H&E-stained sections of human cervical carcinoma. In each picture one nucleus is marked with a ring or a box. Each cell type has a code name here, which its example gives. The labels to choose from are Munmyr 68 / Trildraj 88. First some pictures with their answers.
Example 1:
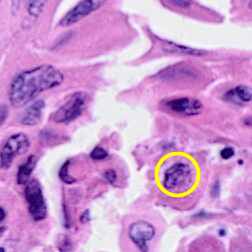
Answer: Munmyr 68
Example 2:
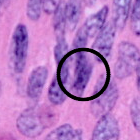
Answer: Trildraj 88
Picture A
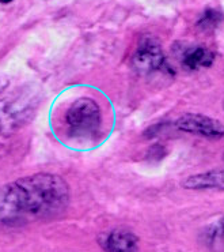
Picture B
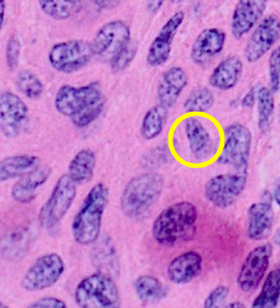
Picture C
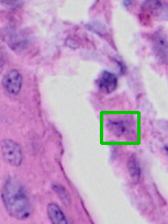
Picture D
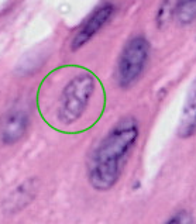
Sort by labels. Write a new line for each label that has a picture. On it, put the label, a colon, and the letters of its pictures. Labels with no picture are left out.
Munmyr 68: A, C
Trildraj 88: B, D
